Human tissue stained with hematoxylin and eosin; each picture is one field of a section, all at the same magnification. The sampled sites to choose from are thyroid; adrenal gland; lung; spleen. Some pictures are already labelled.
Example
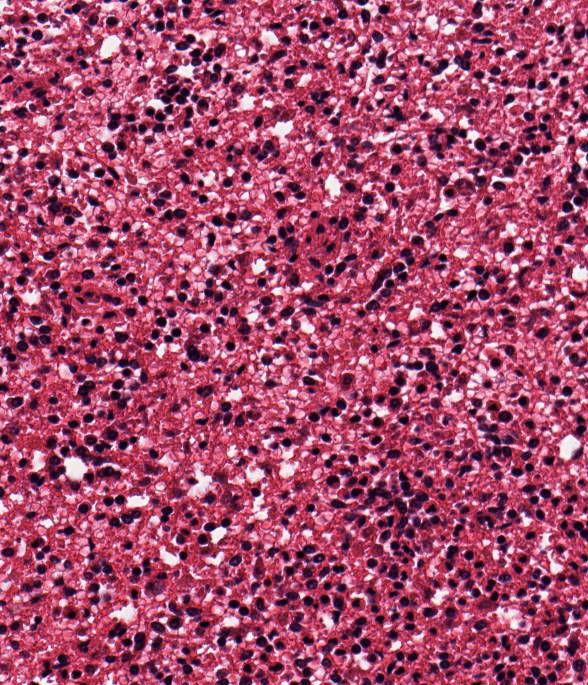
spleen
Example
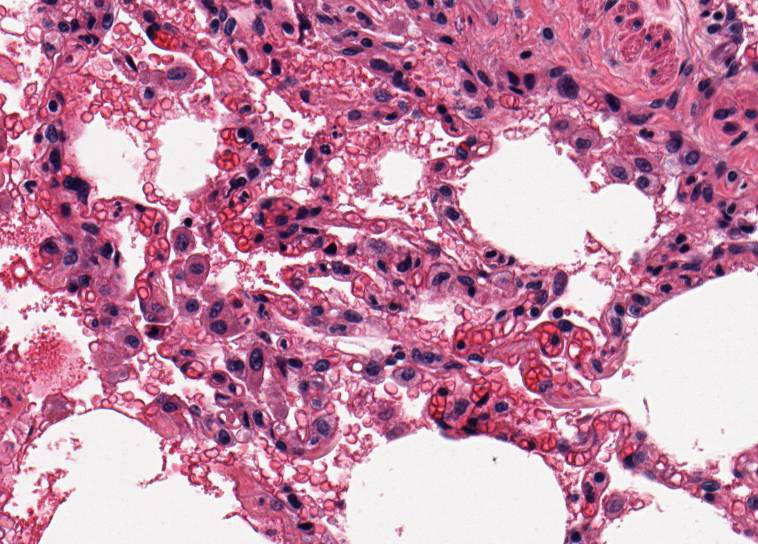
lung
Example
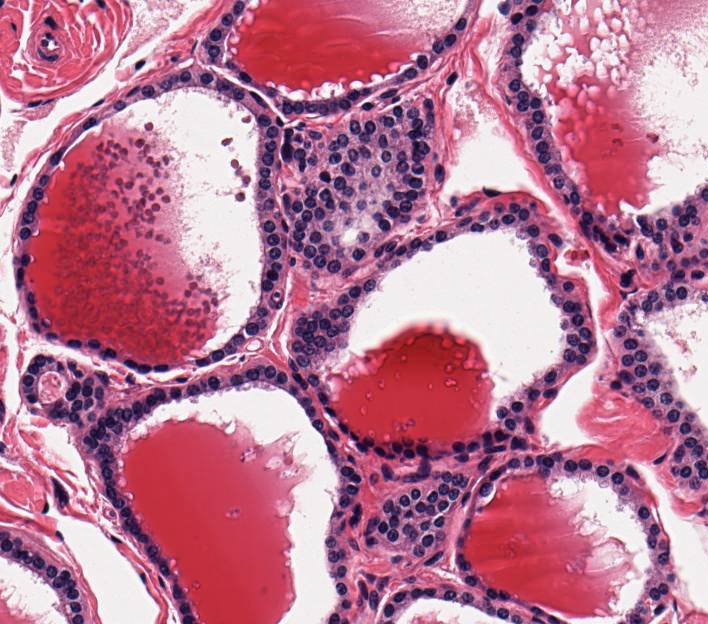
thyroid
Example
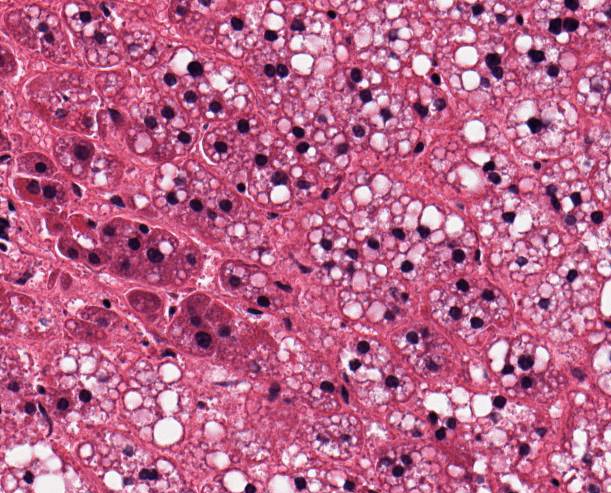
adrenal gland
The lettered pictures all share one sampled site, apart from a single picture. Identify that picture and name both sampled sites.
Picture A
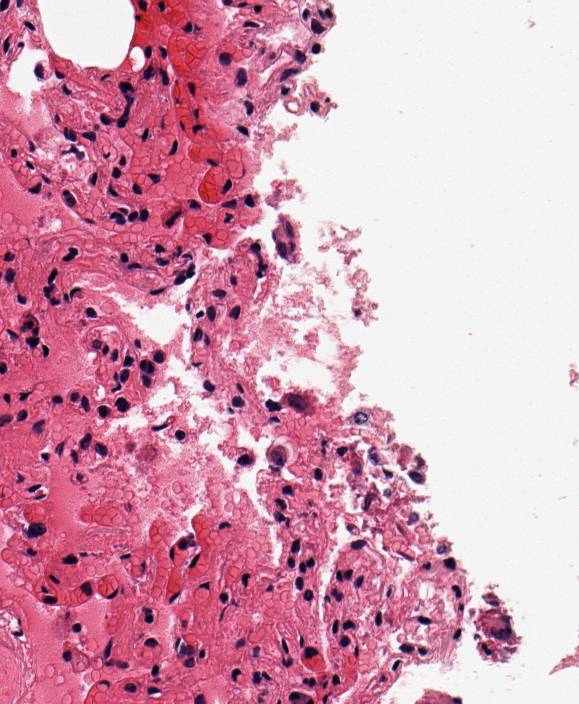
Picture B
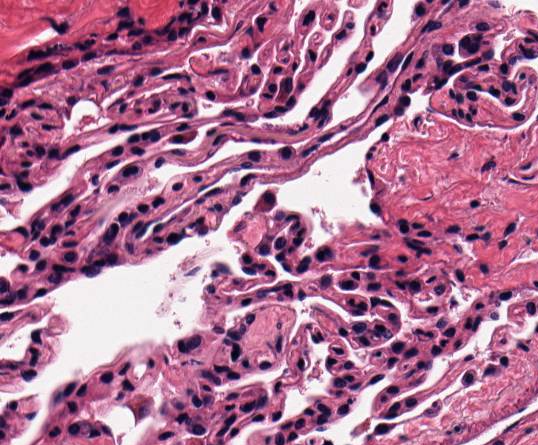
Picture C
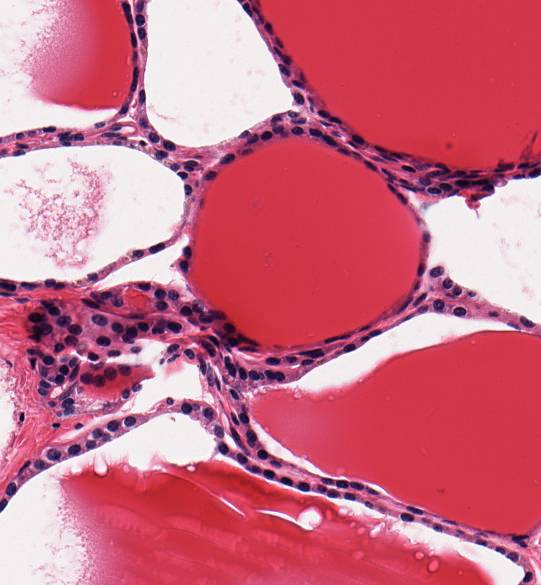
C differs and shows thyroid; the others show lung.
